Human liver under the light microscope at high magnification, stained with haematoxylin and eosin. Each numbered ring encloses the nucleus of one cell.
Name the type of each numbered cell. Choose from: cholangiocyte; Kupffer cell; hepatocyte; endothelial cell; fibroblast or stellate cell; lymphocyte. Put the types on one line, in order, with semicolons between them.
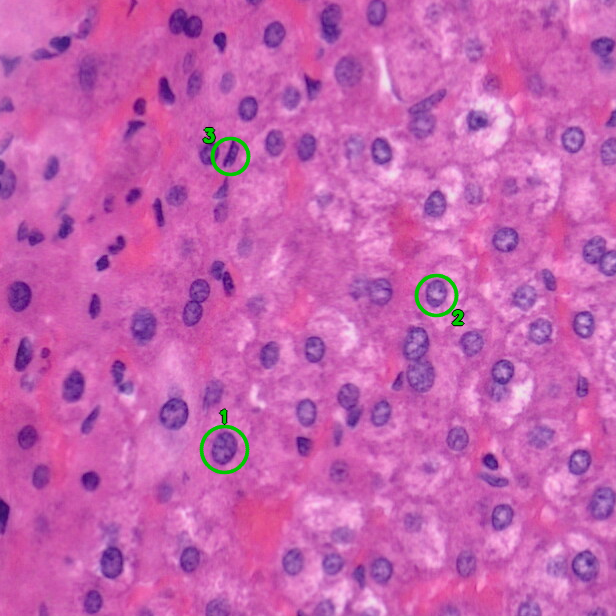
hepatocyte; hepatocyte; fibroblast or stellate cell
